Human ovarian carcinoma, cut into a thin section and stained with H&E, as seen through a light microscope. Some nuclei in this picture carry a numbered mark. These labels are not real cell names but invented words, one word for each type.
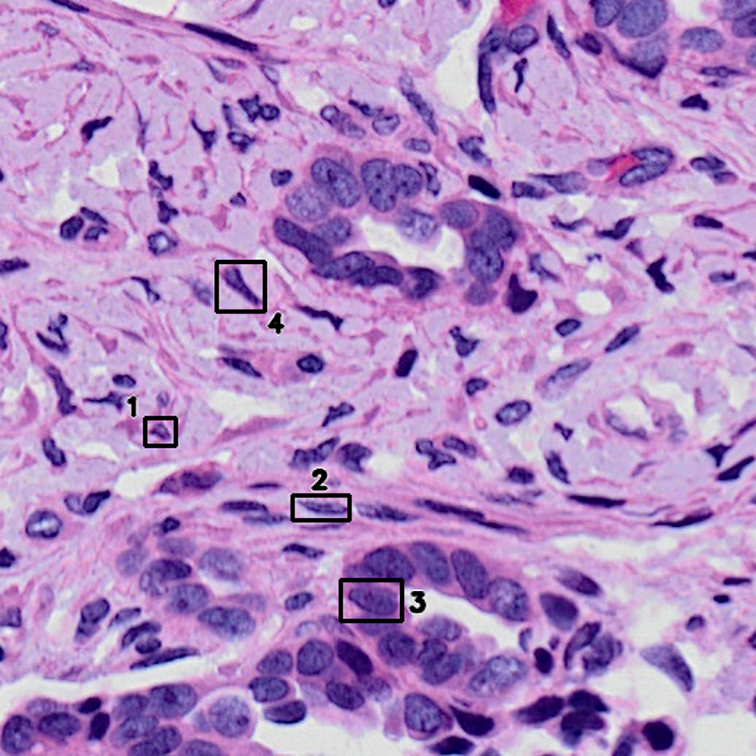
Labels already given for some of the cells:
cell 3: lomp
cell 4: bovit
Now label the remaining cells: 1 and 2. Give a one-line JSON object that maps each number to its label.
{"1": "bovit", "2": "bovit"}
